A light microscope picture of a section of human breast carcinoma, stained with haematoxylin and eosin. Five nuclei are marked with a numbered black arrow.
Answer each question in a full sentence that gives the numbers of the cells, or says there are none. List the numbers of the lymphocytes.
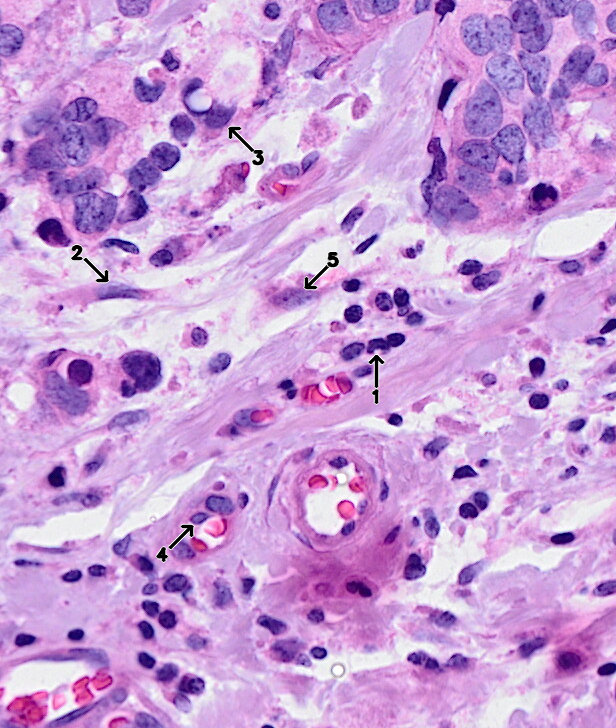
It is cell 1, and no other numbered cell, that is a lymphocyte.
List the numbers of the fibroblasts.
Here, the cells that carry numbers 2 and 5 are fibroblasts.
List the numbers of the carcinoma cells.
Only at number 3 is there a carcinoma cell.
